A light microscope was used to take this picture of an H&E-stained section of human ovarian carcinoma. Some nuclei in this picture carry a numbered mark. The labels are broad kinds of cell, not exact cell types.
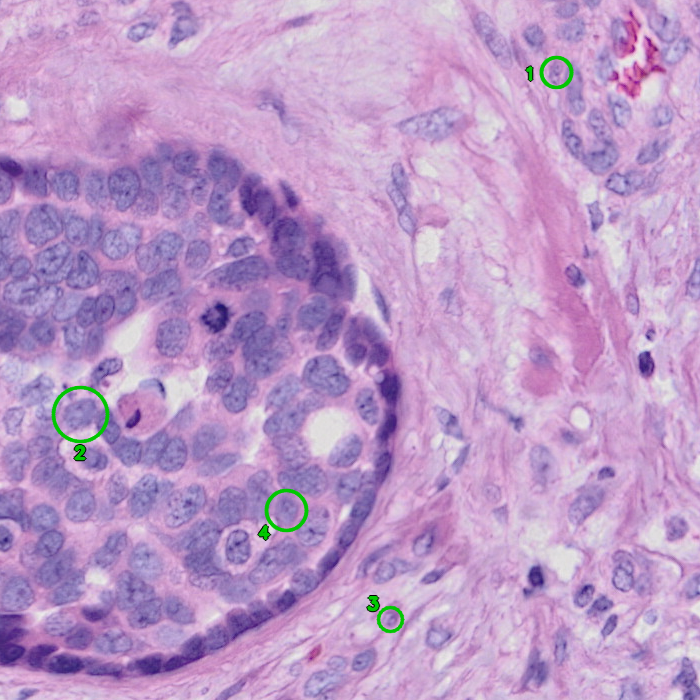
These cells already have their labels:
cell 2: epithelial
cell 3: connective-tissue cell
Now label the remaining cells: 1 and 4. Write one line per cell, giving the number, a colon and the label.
1: connective-tissue cell
4: epithelial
